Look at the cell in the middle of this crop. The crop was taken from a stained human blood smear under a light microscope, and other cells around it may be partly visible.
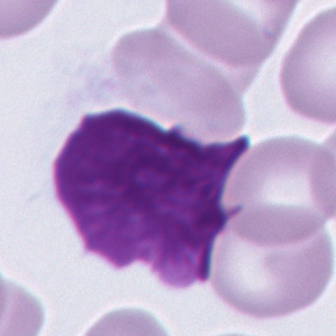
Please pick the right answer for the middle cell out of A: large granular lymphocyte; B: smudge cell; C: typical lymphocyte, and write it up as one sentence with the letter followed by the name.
Since the cell in the middle is a smudge cell, option B is correct.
